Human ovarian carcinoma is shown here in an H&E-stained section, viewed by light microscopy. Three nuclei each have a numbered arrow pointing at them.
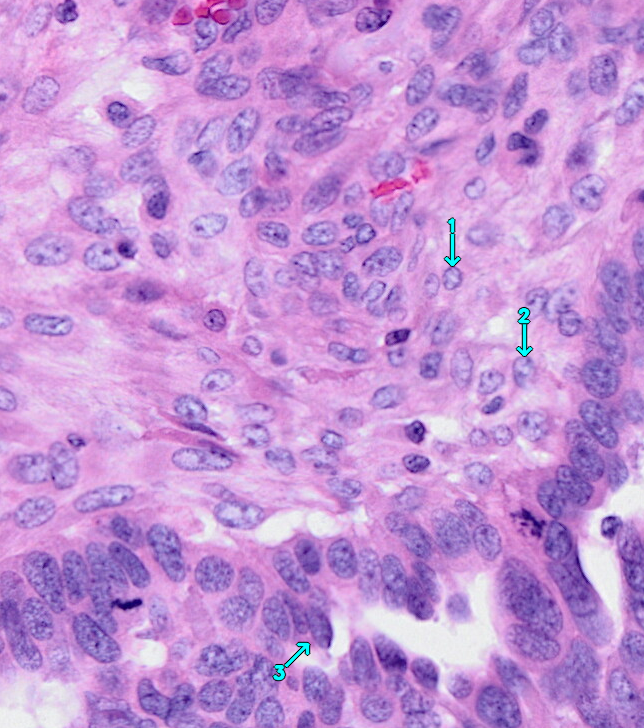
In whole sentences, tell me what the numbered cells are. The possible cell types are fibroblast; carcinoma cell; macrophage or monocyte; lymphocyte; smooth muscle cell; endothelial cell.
Cells 1 and 2 are fibroblasts. Cell 3 is a carcinoma cell.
